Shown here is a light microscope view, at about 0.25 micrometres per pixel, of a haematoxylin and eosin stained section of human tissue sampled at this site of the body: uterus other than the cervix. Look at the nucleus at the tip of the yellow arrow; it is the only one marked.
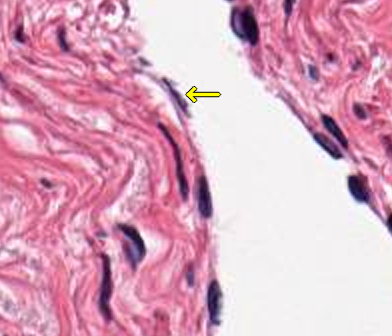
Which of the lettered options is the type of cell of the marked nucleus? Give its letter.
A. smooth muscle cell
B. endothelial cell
B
